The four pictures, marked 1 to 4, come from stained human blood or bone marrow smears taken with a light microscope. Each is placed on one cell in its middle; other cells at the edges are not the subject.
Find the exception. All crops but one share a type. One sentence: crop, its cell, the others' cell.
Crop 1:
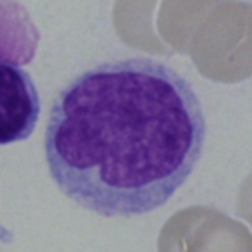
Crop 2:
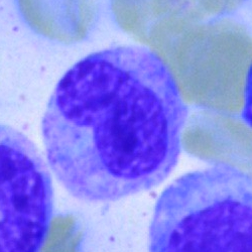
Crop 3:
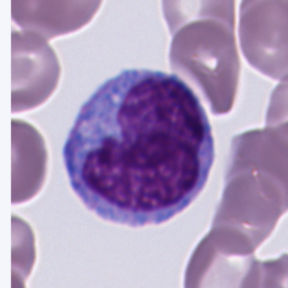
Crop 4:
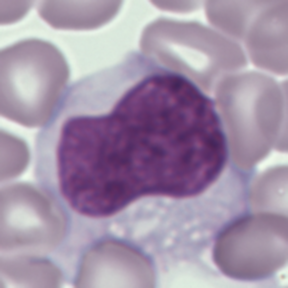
The central cell of crop 2 is a metamyelocyte, while the other crops show monocytes.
